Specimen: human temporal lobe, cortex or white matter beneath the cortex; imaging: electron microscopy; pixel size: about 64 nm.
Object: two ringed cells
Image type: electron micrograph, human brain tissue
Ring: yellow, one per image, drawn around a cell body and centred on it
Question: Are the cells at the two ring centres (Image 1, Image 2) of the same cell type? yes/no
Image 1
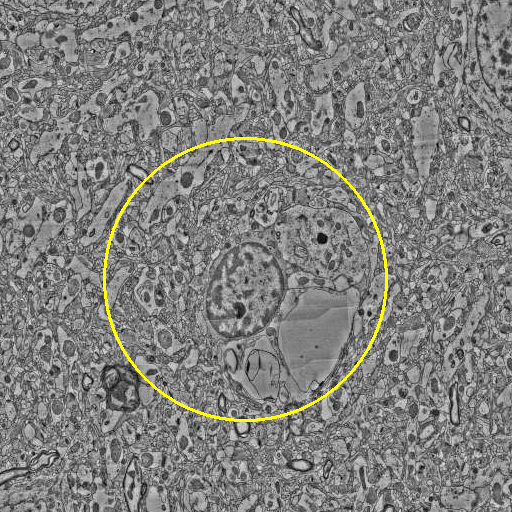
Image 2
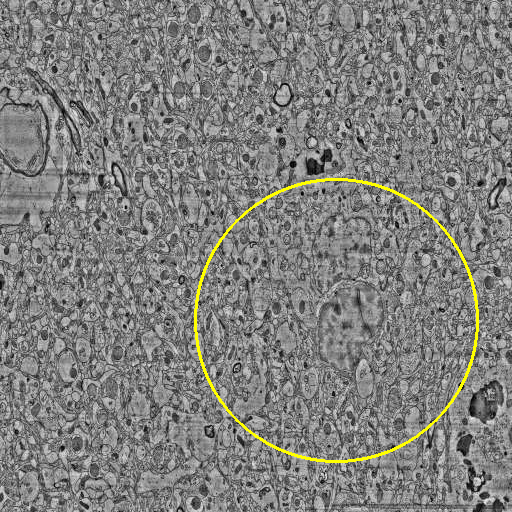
yes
